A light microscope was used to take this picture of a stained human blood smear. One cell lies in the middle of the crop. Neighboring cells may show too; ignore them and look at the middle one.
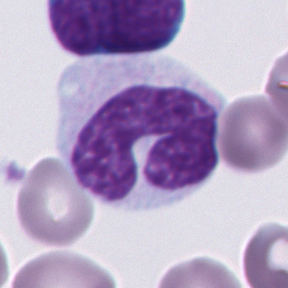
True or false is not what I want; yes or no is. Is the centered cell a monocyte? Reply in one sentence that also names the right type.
No, the cell occupying the centre is a band neutrophil, not a monocyte.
